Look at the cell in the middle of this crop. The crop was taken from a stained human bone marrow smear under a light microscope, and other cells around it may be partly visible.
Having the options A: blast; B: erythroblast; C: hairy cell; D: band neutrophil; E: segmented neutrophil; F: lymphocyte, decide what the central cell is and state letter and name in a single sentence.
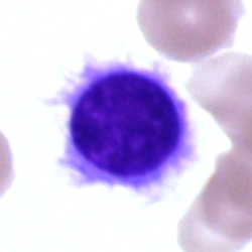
Well, the cell in the middle is a hairy cell, making option C right.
